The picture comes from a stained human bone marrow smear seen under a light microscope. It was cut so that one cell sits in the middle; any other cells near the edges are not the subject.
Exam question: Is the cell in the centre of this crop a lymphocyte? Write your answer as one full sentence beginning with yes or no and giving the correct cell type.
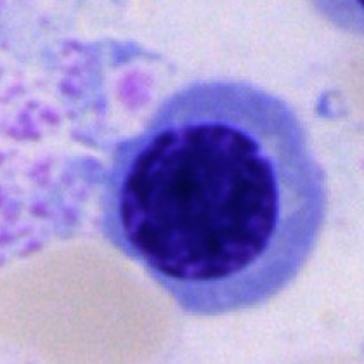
No, the cell at the centre of the crop is an erythroblast and not a lymphocyte.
